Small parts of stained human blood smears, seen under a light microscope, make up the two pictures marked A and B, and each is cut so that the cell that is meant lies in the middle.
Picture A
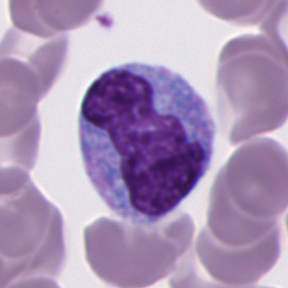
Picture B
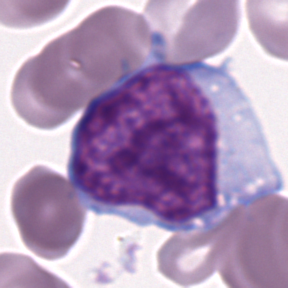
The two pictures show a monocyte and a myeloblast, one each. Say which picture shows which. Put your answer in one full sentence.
Picture A is of a monocyte, and picture B is of a myeloblast.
